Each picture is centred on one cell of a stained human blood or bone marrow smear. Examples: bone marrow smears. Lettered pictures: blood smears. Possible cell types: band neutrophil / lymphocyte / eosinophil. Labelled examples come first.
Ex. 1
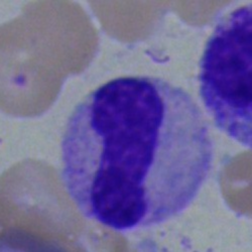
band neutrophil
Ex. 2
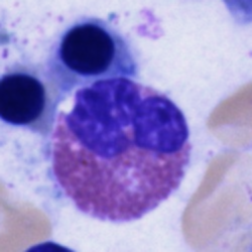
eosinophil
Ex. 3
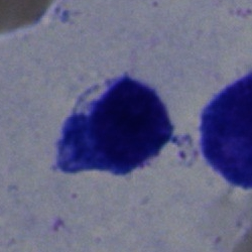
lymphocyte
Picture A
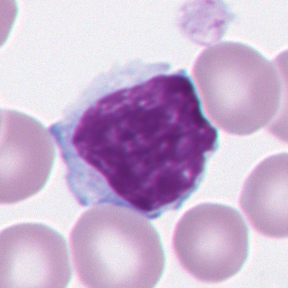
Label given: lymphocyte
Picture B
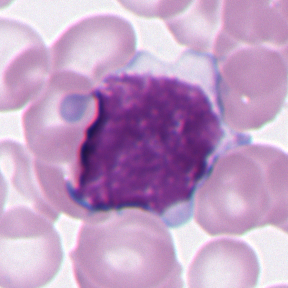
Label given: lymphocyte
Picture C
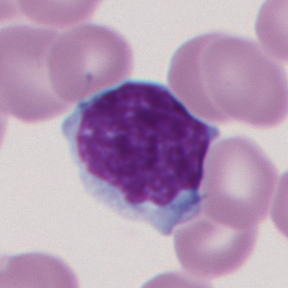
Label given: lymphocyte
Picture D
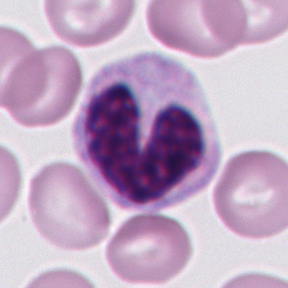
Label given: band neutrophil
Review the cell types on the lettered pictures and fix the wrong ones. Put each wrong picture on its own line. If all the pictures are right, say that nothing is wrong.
None of the labels needs changing.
